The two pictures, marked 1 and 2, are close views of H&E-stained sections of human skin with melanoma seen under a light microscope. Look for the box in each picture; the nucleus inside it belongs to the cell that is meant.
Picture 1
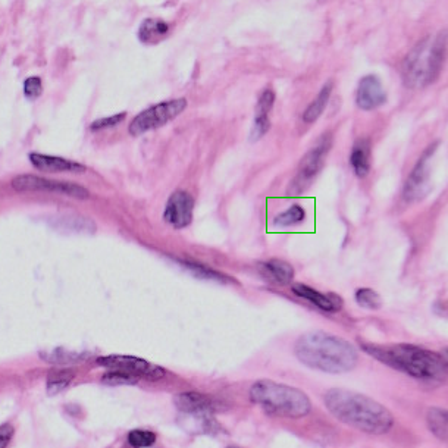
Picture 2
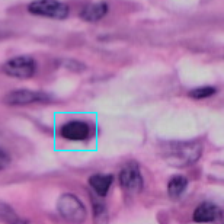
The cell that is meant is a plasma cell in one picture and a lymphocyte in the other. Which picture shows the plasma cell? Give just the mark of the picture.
2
